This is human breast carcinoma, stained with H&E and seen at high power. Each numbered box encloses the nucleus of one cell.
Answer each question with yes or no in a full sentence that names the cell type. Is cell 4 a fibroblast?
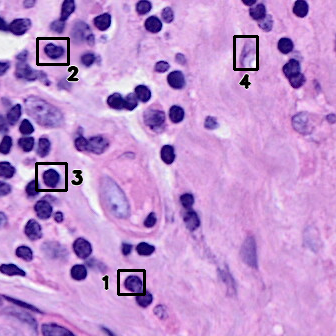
Yes, cell 4 is a fibroblast in this tissue section.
